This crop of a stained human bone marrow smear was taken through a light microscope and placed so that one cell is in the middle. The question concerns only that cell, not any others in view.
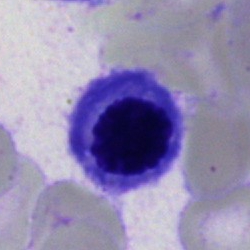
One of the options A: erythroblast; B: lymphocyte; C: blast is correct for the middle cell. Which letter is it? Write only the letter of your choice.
A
